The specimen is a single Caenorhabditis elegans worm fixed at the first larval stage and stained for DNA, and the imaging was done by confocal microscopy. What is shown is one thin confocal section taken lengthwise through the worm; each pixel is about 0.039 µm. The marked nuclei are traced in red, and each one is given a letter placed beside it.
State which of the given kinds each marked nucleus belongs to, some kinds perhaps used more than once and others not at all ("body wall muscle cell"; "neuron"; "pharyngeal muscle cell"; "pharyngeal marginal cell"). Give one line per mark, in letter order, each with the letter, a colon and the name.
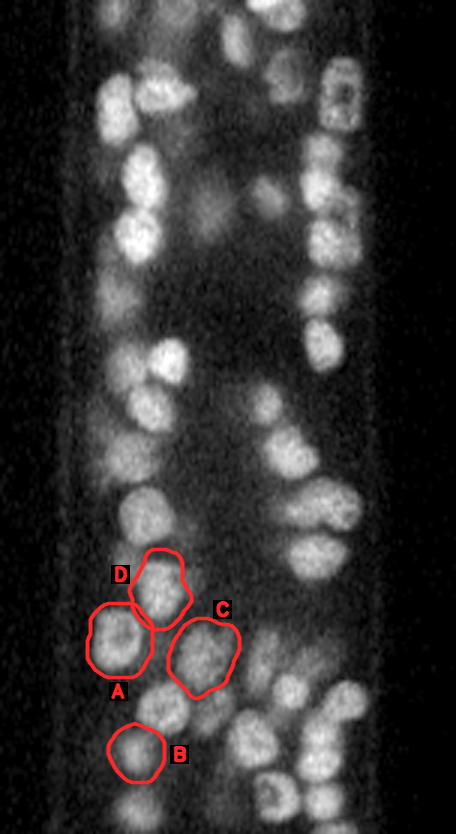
A: body wall muscle cell
B: neuron
C: pharyngeal marginal cell
D: neuron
